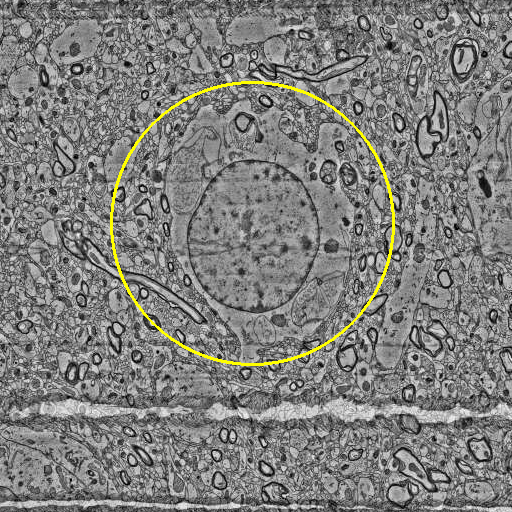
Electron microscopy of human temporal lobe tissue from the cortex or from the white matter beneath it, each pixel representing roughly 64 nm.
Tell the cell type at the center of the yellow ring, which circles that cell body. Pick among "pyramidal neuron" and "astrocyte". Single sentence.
The ring is centered on the body of an astrocyte.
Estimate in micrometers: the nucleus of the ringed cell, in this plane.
The nucleus appears roughly 10 by 8 micrometres in this plane.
